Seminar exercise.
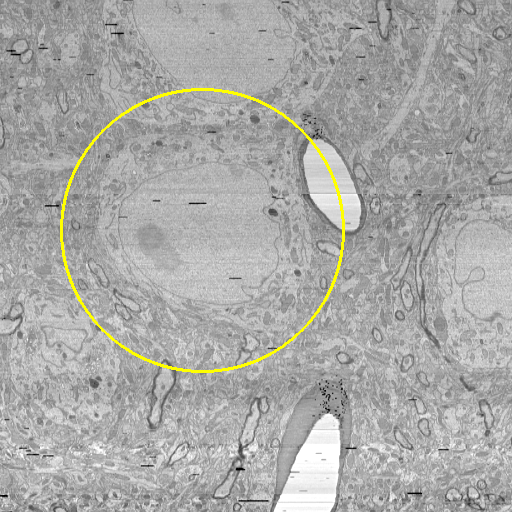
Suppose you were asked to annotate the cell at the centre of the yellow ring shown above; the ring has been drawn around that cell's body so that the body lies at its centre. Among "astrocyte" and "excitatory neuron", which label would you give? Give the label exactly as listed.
excitatory neuron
